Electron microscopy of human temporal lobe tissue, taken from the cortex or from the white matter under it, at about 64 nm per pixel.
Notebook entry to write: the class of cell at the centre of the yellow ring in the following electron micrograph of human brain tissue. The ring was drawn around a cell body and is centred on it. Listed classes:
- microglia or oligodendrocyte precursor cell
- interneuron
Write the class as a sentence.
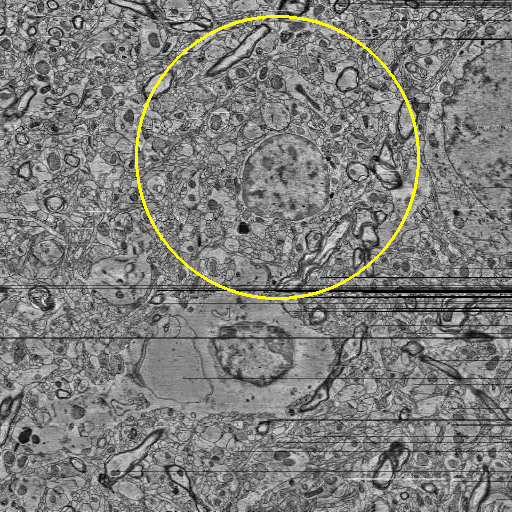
The yellow ring sits on a microglial cell or oligodendrocyte precursor cell.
